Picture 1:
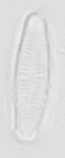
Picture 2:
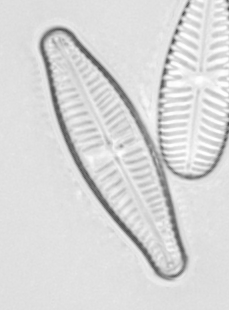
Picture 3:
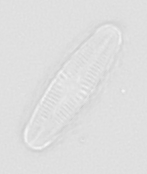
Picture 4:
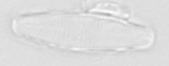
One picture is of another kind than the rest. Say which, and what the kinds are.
Picture 2 shows Gomphonema; the rest show Achnanthidium.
